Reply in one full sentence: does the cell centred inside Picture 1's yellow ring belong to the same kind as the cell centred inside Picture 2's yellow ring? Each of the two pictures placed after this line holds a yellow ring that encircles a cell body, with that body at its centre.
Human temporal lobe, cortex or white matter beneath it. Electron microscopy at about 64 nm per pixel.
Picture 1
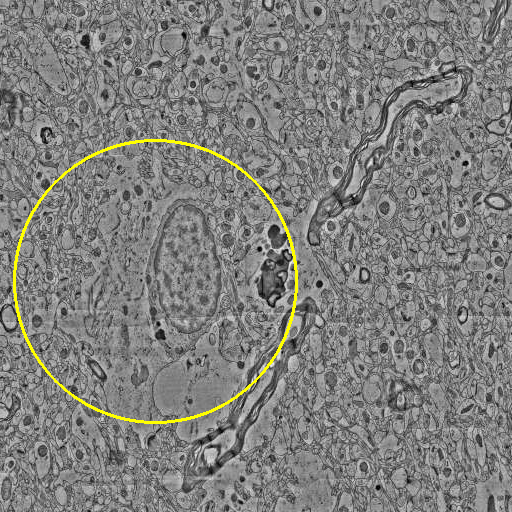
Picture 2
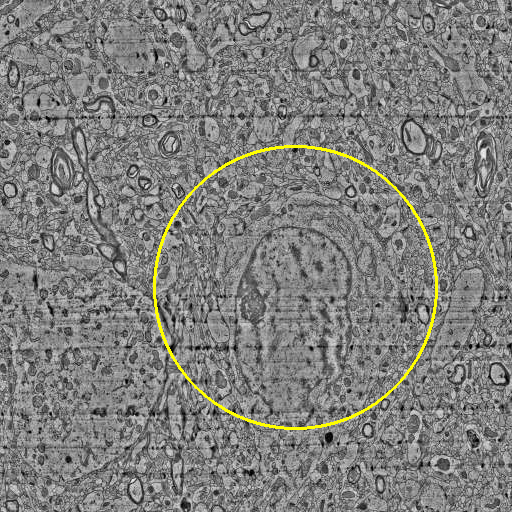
No, the ring-centred cells in Picture 1 and Picture 2 are of two separate kinds.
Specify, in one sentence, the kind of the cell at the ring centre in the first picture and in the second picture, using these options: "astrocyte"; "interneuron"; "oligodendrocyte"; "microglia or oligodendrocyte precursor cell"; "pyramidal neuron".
So the first is an oligodendrocyte, the second an interneuron.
